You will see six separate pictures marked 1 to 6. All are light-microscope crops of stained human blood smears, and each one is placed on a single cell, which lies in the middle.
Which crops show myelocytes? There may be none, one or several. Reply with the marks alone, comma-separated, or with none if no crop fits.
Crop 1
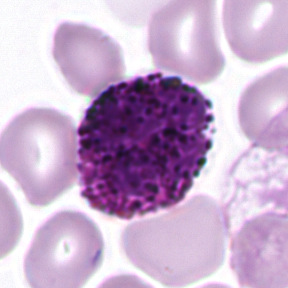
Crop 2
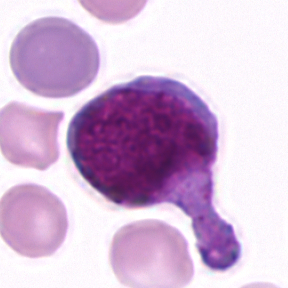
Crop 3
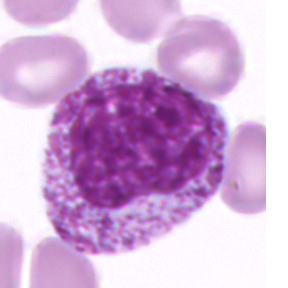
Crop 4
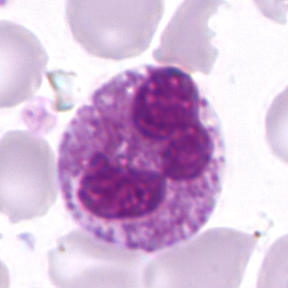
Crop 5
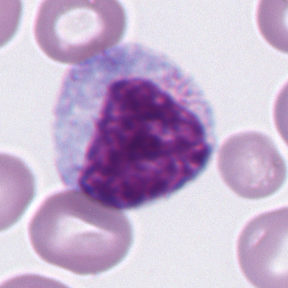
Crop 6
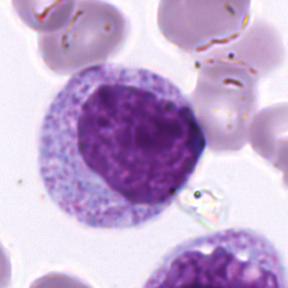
3, 5, 6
